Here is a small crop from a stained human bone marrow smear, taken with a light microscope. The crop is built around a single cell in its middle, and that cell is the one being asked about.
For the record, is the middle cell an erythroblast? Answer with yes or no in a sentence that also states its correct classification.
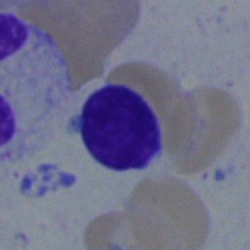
No, the middle one is a lymphocyte rather than an erythroblast.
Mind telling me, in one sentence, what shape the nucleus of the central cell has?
The nucleus amounts to one compact mass with a round, oval or kidney-shaped outline.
